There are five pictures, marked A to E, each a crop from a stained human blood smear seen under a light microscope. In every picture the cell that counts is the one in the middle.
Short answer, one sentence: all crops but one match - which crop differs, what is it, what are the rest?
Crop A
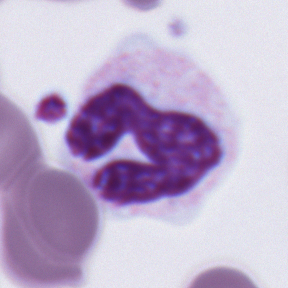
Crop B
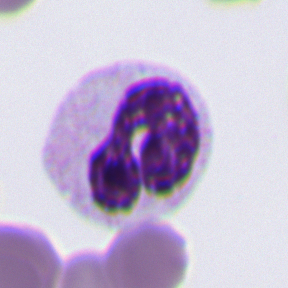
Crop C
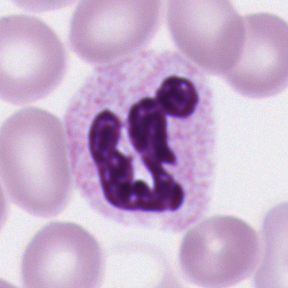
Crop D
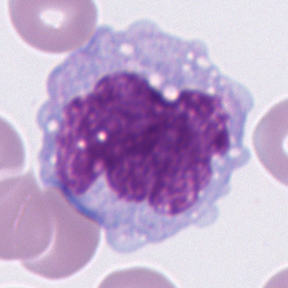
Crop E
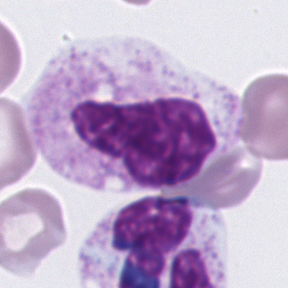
In crop D the central cell is a monocyte, whereas the other crops all contain segmented neutrophils.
